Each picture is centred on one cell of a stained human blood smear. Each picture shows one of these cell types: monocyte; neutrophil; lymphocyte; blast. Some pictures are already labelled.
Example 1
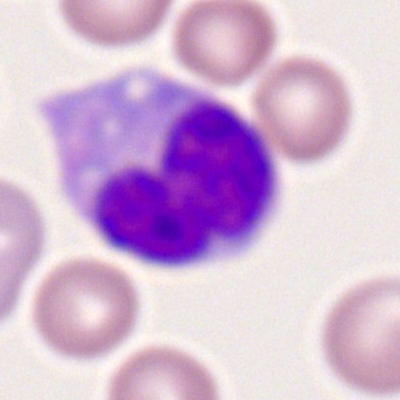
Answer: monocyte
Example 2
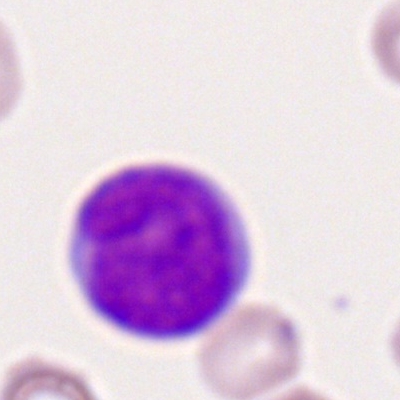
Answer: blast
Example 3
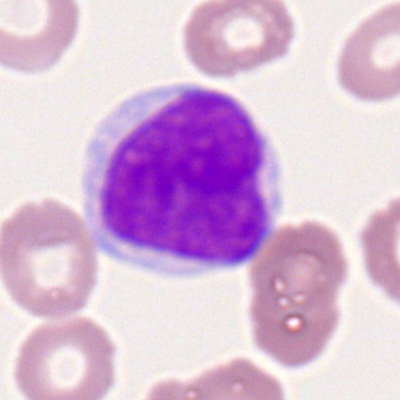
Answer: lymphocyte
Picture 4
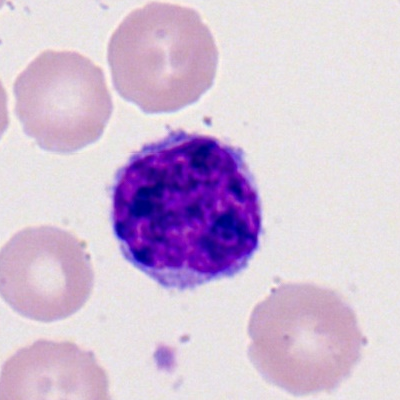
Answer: lymphocyte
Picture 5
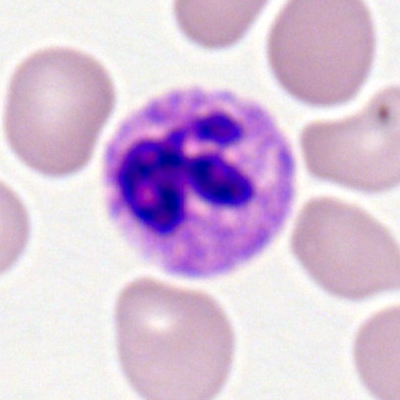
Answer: neutrophil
